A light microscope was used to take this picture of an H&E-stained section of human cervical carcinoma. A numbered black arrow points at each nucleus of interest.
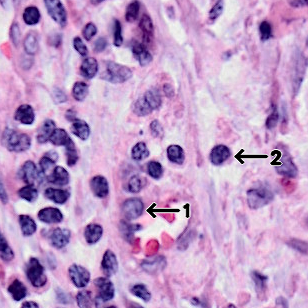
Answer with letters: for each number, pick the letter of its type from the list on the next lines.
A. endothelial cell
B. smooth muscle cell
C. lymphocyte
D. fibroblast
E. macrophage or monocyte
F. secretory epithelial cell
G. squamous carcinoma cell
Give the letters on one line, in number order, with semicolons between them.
A; C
